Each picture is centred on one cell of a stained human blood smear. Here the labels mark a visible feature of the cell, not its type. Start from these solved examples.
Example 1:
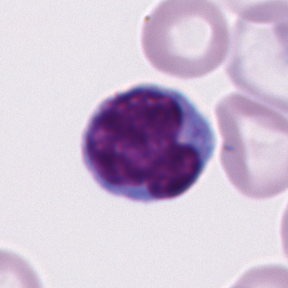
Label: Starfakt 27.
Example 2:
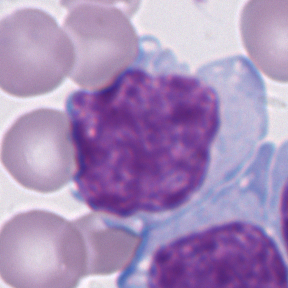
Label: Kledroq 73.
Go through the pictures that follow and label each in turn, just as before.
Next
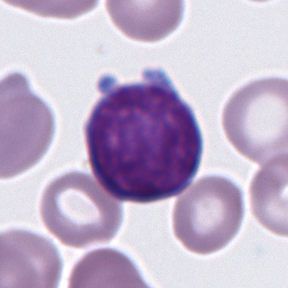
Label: Kledroq 73.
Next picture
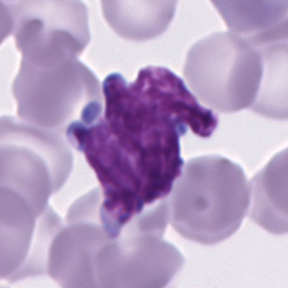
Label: Kledroq 73.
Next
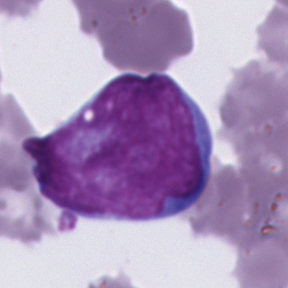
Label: Kledroq 73.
